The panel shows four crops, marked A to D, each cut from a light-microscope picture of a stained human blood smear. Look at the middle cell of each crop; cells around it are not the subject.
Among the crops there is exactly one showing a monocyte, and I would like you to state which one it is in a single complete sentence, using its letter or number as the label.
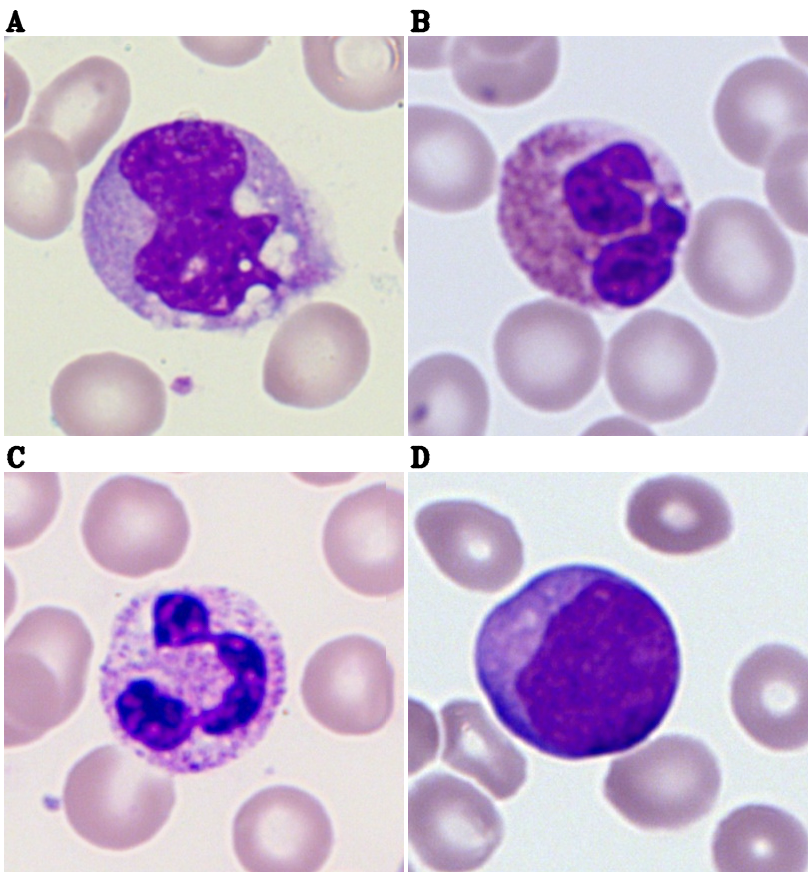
Of the cells presented, the one in crop A is a monocyte.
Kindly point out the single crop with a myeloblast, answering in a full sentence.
Crop D is identified as the crop showing a myeloblast.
